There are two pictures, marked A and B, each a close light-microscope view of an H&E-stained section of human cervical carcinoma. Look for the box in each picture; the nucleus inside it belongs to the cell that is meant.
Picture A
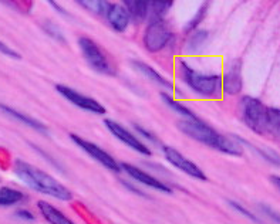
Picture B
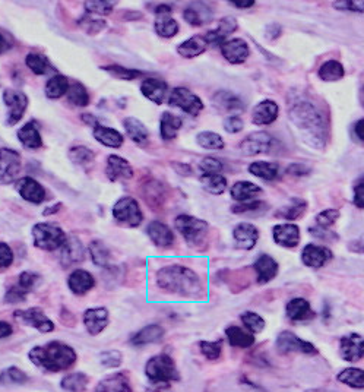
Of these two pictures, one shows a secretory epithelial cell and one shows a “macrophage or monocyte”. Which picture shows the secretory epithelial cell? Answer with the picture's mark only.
A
